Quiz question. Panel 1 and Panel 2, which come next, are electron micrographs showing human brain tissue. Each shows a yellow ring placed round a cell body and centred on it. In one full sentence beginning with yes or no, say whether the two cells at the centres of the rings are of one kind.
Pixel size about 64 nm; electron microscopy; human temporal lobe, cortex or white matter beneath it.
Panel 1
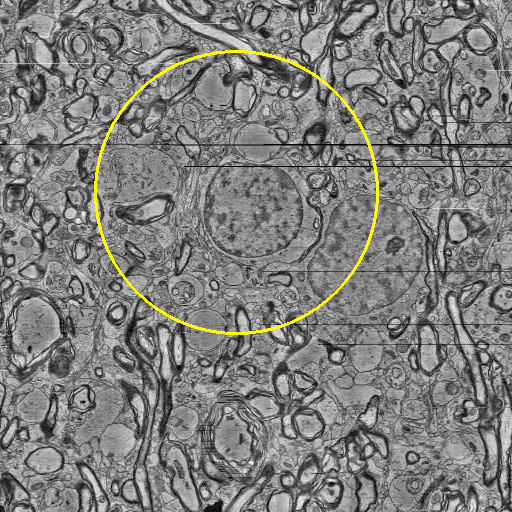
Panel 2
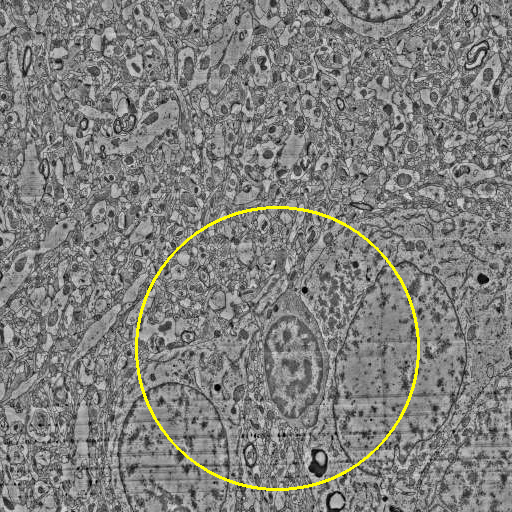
No, Panel 1 and Panel 2 show two kinds of cell at the centre of the ring.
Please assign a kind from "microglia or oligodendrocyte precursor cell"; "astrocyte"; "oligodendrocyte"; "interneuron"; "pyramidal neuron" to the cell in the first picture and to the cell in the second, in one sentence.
In the first picture we have a microglial cell or oligodendrocyte precursor cell, and in the second, an oligodendrocyte.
